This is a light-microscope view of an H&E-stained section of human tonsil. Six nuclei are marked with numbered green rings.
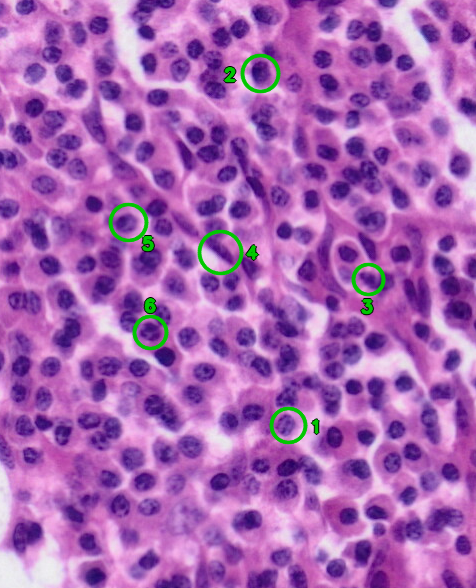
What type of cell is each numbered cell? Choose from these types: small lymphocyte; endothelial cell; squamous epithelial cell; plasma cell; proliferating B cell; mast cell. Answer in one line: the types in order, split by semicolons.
plasma cell; plasma cell; squamous epithelial cell; squamous epithelial cell; plasma cell; plasma cell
